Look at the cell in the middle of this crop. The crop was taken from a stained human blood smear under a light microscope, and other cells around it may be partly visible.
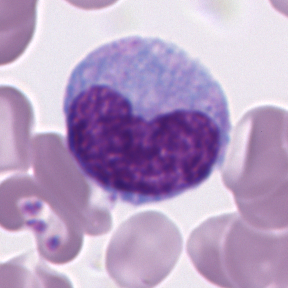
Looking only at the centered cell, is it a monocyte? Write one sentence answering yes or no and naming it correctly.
Yes, a monocyte is the cell positioned in the middle of the field.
